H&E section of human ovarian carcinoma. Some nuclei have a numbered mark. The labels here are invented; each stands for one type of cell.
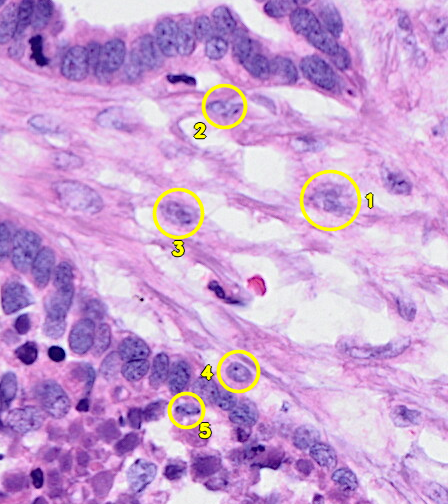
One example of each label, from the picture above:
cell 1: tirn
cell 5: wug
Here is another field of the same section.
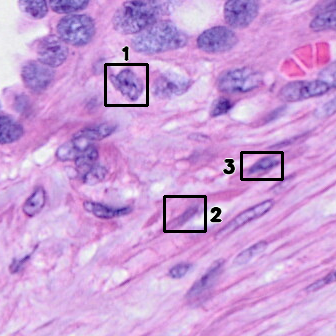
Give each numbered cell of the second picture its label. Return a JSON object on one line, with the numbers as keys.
{"1": "wug", "2": "tirn", "3": "tirn"}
